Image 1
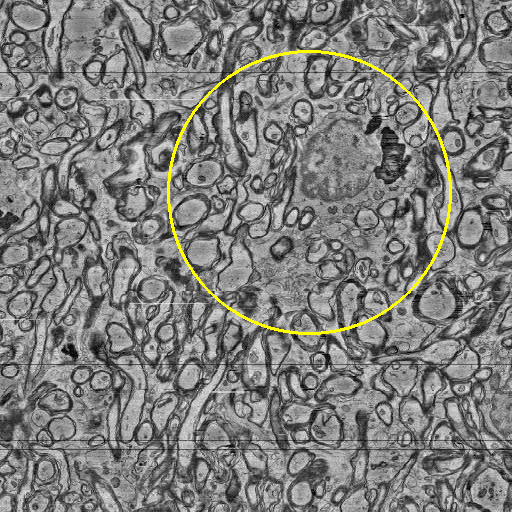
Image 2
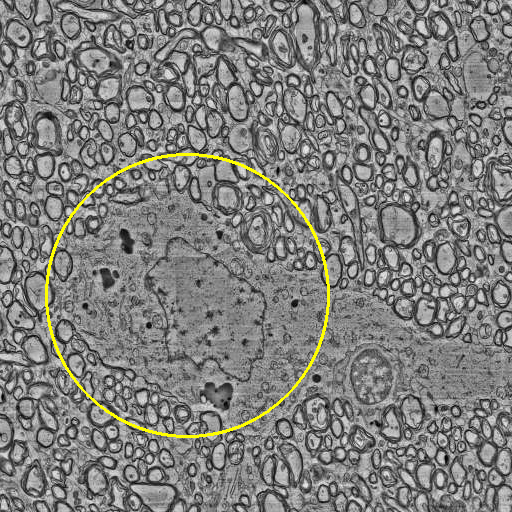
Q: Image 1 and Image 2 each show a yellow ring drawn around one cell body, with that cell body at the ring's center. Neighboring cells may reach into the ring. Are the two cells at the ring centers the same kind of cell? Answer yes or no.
no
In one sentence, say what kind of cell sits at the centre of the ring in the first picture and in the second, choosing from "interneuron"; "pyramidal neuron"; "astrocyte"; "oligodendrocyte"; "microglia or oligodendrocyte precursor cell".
The first picture's ringed cell is an oligodendrocyte, while the second picture's is a pyramidal neuron.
